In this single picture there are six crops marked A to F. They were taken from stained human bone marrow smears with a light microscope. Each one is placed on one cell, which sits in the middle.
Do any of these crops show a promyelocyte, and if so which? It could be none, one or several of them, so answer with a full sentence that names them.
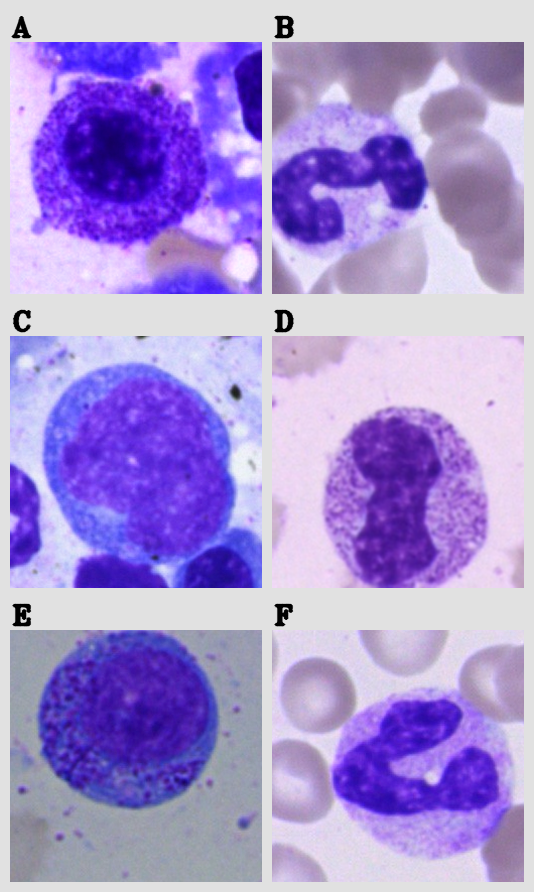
Crops A and E show promyelocytes as their centred cells.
